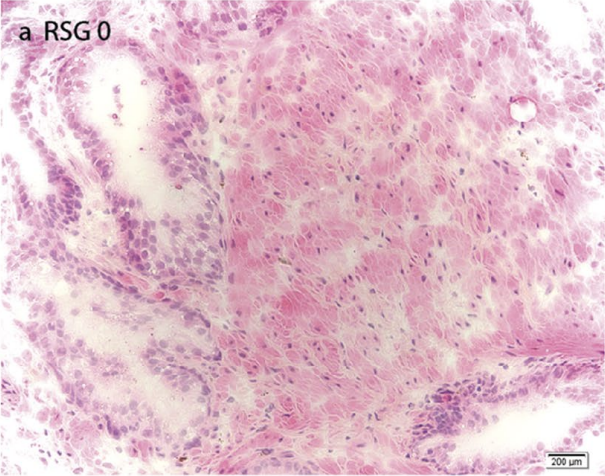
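Normal prostatic tissue with glands lined by epithelial cells with purple nuclei, set around open pale lumens at the left and bottom. Between them lies a broad area of dense pink stroma made of elongated cells with spindle-shaped nuclei arranged in bundles.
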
